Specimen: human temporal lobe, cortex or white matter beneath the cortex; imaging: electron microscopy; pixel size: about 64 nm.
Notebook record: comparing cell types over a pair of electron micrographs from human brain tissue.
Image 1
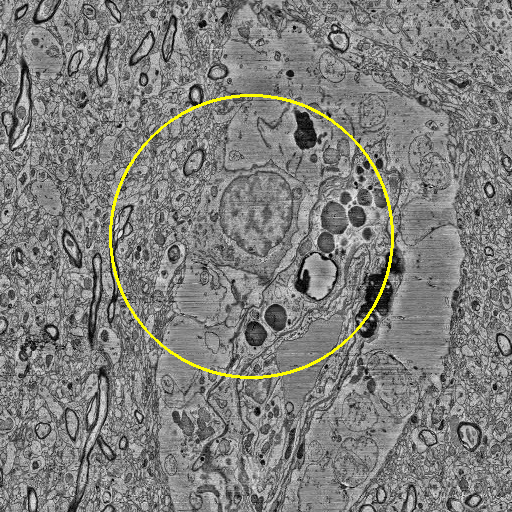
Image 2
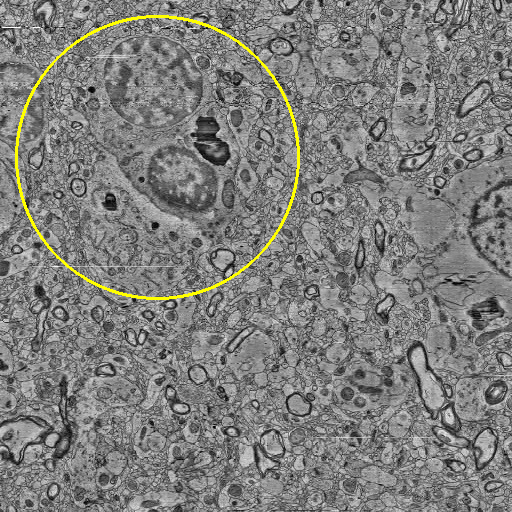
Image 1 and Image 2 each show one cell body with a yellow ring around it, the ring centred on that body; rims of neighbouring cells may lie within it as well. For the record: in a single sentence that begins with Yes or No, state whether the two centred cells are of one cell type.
Yes, one cell type is shared by the centred cells of Image 1 and Image 2.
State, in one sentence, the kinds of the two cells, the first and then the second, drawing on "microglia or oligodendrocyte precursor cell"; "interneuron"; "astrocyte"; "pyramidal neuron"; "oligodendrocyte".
Both cells are the same kind, each one being an oligodendrocyte.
